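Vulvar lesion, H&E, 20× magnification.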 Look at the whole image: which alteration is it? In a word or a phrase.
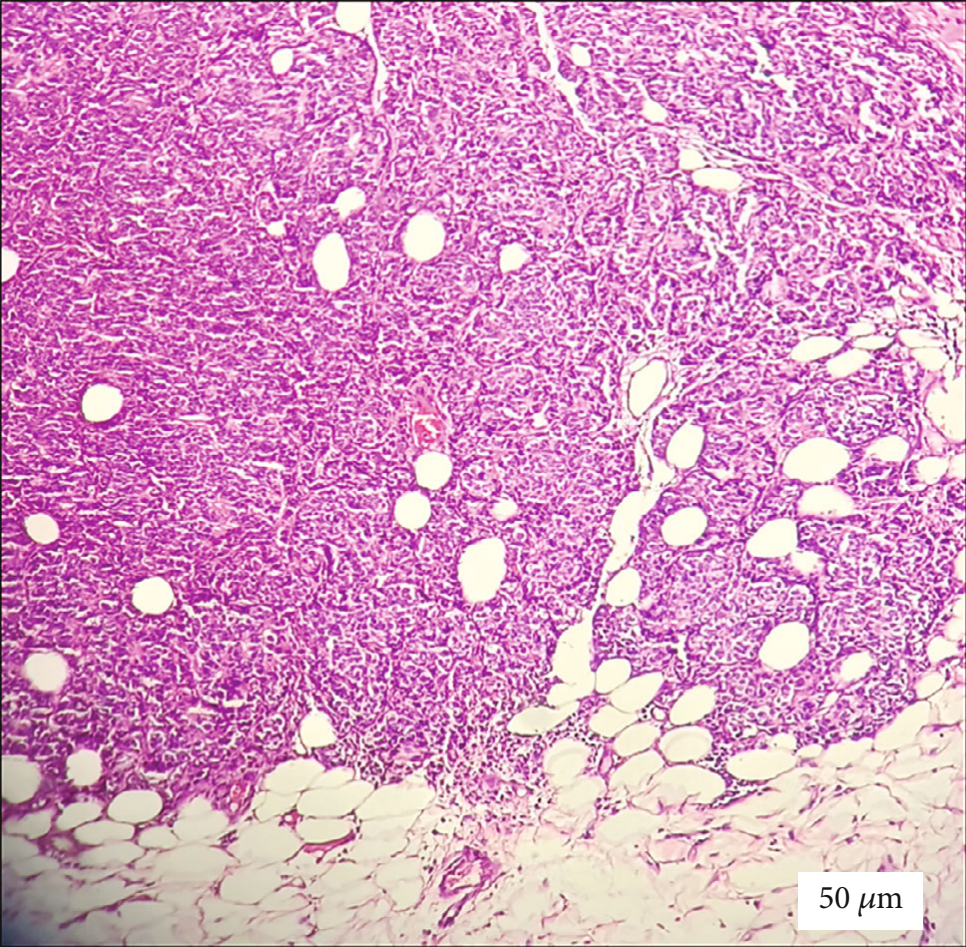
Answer: Solid proliferation of atypical epithelial cells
